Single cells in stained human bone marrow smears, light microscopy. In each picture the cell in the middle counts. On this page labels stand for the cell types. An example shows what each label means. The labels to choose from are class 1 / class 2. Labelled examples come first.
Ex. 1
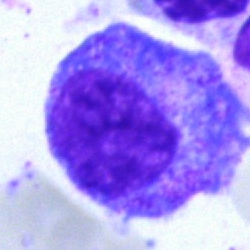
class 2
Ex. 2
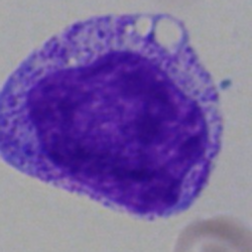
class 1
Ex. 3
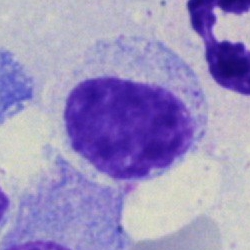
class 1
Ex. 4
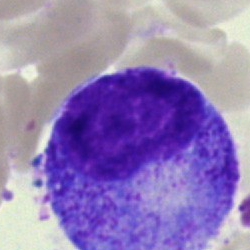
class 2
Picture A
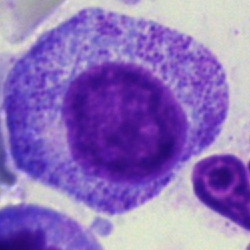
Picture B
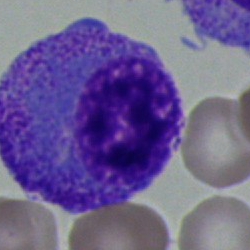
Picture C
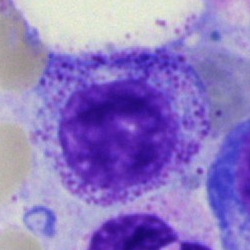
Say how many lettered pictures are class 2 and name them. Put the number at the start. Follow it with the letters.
1, namely B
